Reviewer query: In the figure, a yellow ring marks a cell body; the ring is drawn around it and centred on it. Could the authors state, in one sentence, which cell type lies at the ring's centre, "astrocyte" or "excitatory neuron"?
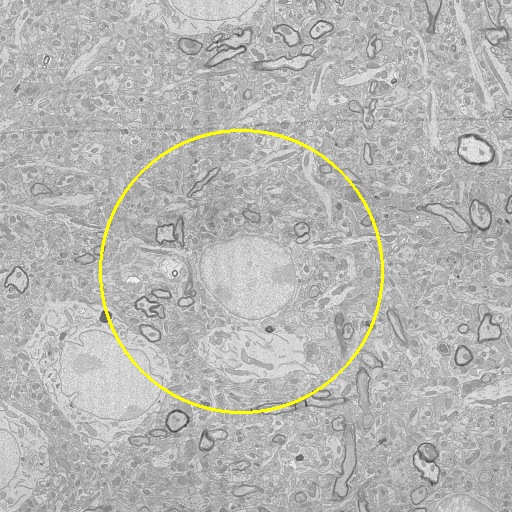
The ring is centred on an astrocyte.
